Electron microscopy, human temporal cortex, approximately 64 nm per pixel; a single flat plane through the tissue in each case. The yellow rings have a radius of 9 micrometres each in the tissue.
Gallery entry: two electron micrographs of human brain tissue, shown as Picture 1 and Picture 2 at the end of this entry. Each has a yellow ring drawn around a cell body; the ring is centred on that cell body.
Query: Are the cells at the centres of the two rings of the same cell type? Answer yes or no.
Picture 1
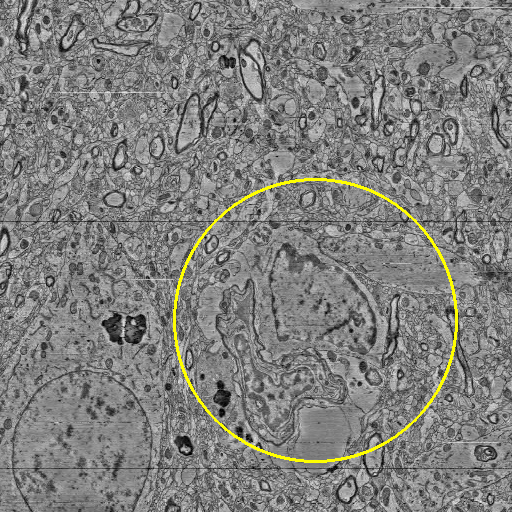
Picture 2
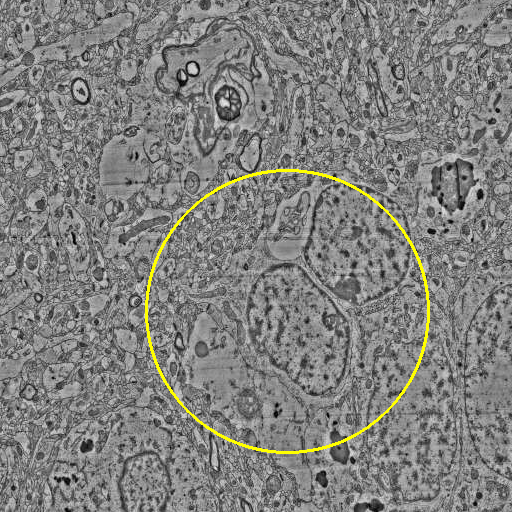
yes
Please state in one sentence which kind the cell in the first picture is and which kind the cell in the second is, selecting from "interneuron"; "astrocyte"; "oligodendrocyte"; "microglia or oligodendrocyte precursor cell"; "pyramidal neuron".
Each of the two rings is centred on a microglial cell or oligodendrocyte precursor cell.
